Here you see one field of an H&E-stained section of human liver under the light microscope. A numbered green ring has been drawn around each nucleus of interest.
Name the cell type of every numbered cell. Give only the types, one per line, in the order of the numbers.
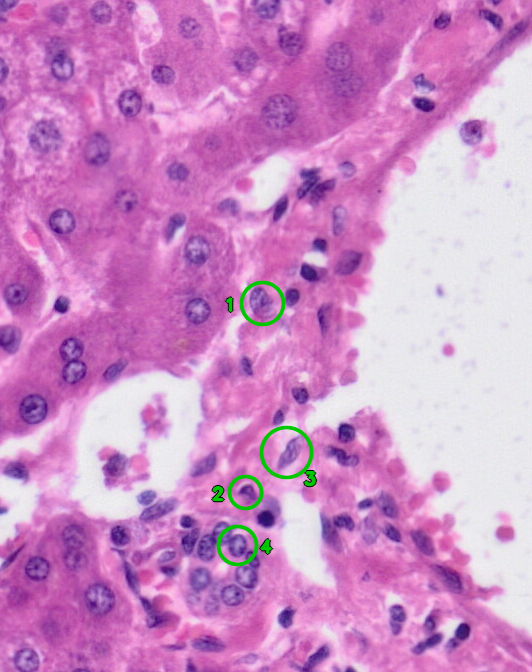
fibroblast or stellate cell
fibroblast or stellate cell
fibroblast or stellate cell
cholangiocyte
